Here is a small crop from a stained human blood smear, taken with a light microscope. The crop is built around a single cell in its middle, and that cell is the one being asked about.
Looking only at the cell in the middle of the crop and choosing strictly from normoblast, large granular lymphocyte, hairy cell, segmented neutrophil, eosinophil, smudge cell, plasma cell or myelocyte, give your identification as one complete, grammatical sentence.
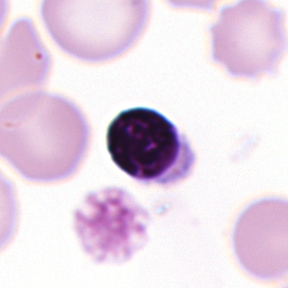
In the centre of this crop there is a normoblast.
